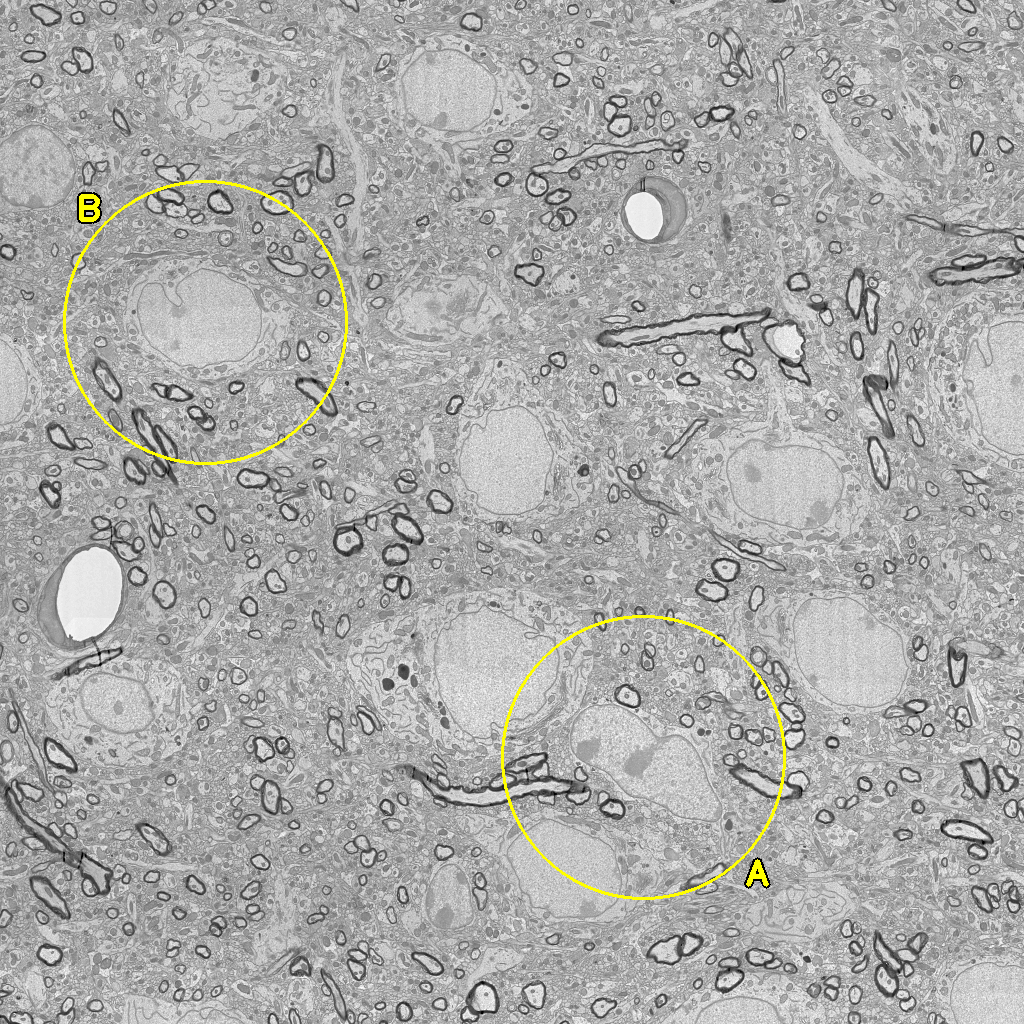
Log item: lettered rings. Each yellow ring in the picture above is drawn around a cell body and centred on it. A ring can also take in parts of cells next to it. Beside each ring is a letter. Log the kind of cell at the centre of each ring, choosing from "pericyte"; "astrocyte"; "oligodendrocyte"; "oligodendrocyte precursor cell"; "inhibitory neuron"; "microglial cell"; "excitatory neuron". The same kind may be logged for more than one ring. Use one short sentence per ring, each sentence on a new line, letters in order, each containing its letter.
Within ring A, the centre is taken by an oligodendrocyte precursor cell.
Within ring B, the centre is taken by an excitatory neuron.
